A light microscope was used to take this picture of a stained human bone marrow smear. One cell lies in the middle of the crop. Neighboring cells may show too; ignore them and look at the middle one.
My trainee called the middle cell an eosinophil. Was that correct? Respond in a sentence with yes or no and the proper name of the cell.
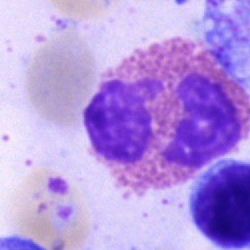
Yes, the cell in the middle of the crop is an eosinophil.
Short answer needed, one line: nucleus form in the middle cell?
We find a nucleus divided into at least two lobes.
